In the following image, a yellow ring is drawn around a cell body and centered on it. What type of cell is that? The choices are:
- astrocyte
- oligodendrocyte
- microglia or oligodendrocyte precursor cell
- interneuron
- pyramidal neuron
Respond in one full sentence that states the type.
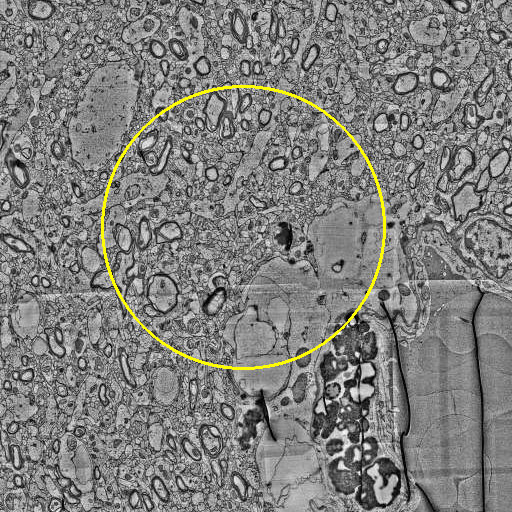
The cell at the center of the yellow ring in the image is an oligodendrocyte.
